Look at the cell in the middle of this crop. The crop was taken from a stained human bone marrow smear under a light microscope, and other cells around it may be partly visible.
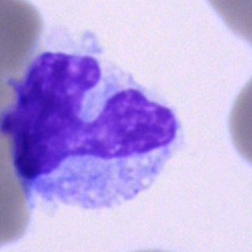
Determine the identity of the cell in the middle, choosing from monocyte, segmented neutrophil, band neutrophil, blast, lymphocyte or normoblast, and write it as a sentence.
The central element of this crop is a cell, namely a monocyte.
